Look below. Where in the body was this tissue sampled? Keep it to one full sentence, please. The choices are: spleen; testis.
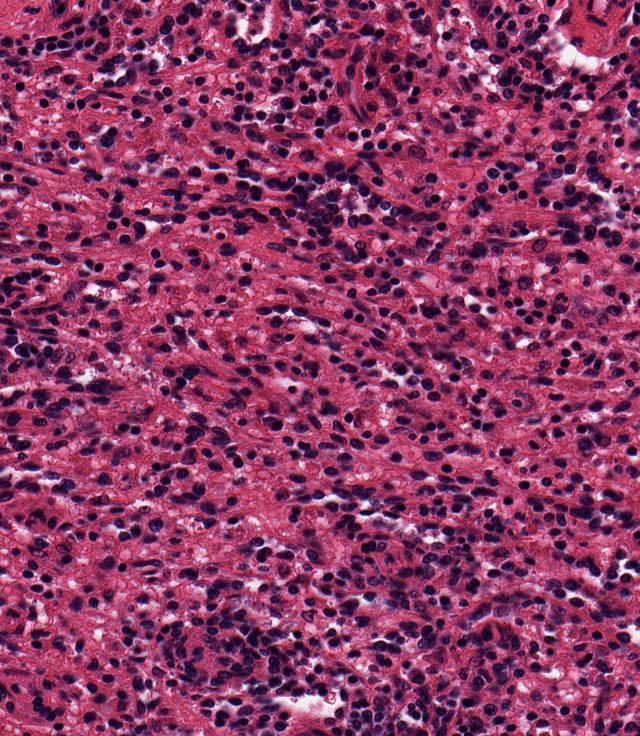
It was from the spleen that this tissue was sampled.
